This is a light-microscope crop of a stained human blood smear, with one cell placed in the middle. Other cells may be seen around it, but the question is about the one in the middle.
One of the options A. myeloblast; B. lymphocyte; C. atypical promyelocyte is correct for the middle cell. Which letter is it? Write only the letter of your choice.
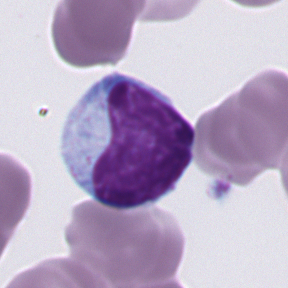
B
